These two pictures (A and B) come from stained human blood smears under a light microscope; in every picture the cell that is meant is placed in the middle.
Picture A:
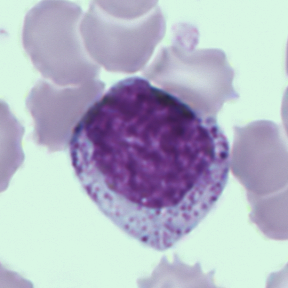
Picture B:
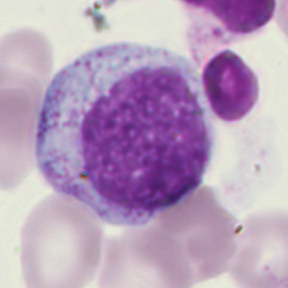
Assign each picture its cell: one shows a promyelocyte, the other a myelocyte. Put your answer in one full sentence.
Picture A is of a myelocyte, and picture B is of a promyelocyte.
